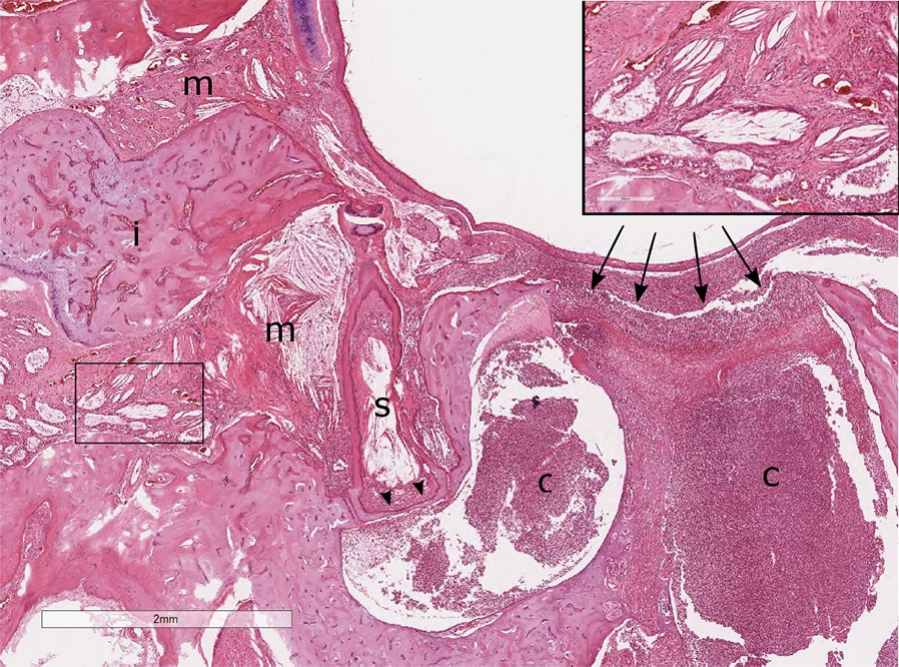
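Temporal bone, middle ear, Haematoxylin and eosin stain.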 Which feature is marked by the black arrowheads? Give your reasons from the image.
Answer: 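Vestibular (oval) window. The arrowheads mark the base of the small ossicle where it sits in an opening of the bone.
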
